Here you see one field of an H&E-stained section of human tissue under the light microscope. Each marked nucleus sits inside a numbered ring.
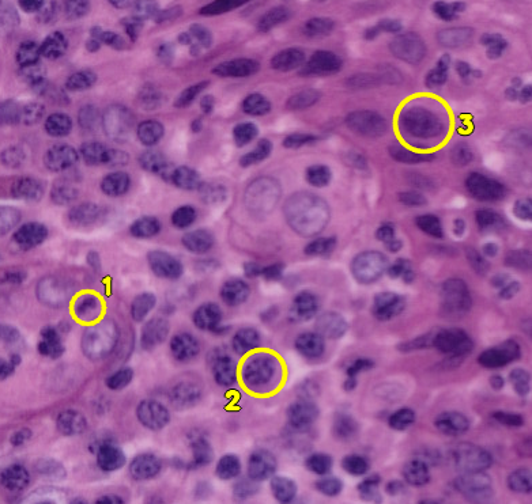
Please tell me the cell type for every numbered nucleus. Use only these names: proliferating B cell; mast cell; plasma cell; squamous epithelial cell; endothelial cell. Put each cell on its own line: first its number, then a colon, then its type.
1: endothelial cell
2: plasma cell
3: squamous epithelial cell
